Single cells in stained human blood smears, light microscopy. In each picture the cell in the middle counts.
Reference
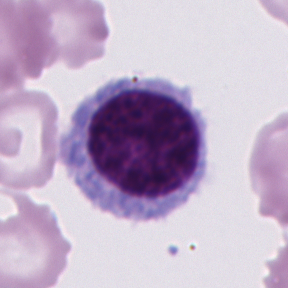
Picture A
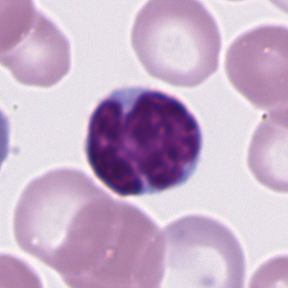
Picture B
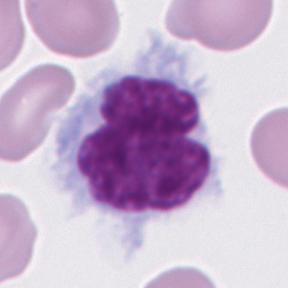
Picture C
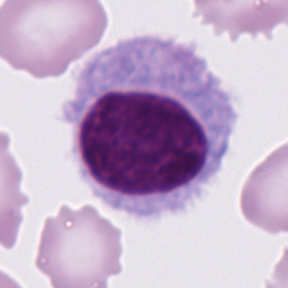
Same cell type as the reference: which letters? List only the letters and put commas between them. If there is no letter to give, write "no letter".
B, C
